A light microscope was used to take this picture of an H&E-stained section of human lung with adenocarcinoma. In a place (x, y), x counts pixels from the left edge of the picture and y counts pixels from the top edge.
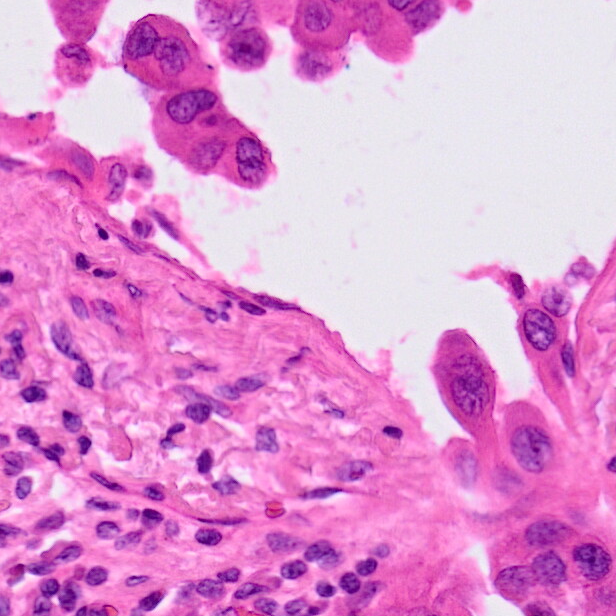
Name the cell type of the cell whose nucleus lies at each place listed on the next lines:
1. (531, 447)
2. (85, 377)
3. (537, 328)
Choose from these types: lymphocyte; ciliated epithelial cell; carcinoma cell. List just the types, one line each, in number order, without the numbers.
carcinoma cell
lymphocyte
carcinoma cell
